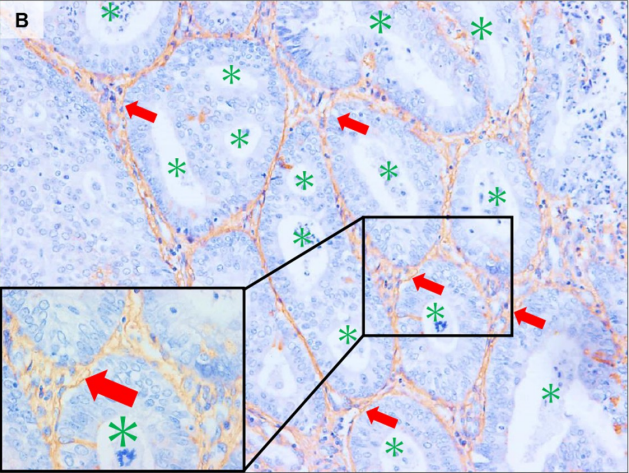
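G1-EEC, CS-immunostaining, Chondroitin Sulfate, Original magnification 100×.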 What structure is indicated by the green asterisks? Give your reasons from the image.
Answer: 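Each asterisk lies in a pale empty space. The spaces are ringed by a layer of epithelial cells. The answer: glandular lumen.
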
